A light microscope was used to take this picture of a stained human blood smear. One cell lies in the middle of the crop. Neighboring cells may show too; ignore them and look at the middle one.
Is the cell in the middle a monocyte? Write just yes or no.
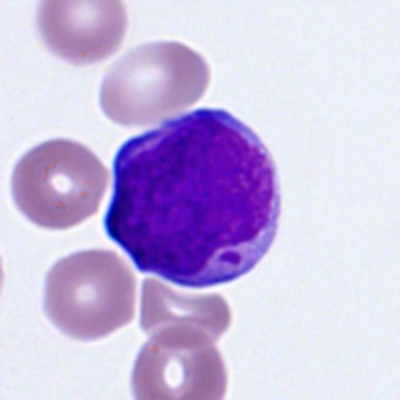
no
